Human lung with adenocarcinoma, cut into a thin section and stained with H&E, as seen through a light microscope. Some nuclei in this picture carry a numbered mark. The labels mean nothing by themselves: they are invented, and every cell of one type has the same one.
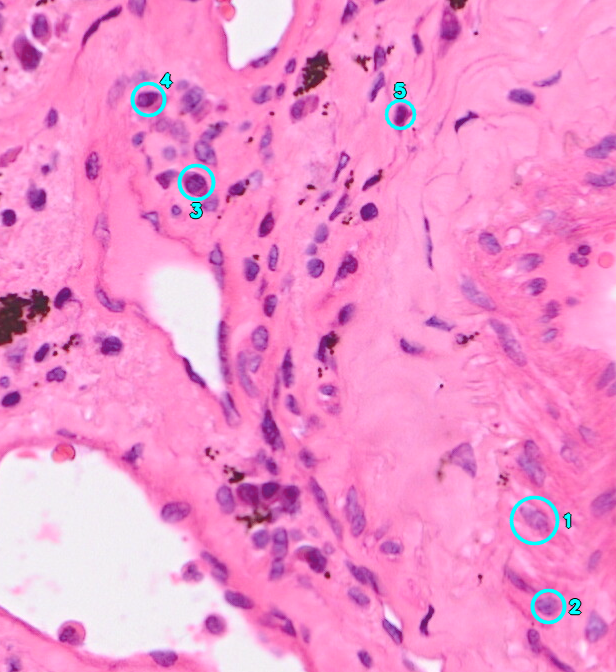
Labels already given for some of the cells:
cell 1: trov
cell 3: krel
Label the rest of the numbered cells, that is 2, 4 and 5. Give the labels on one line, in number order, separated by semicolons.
trov; krel; krel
